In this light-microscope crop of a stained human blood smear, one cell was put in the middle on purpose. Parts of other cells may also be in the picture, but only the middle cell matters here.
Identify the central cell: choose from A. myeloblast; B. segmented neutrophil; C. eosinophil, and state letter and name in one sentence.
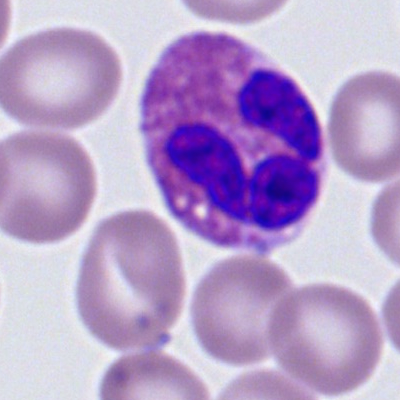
In the centre of the crop there is an eosinophil, making option C correct.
